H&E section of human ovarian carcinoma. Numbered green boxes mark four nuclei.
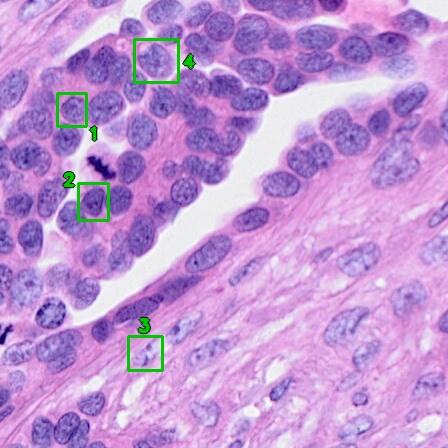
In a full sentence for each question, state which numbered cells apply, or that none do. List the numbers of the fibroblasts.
As for the numbered cells, only cell 3 is a fibroblast.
